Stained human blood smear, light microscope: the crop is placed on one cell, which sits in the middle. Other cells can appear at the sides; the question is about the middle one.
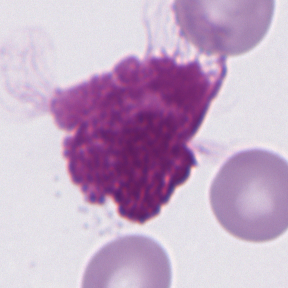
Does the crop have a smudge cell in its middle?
yes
